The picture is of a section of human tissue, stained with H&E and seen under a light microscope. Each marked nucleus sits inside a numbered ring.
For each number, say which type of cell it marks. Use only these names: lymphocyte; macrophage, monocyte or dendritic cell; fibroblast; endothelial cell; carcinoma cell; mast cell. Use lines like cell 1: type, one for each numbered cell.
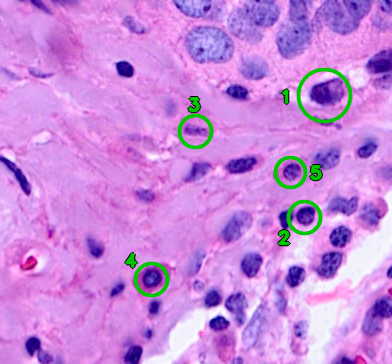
cell 1: carcinoma cell
cell 2: lymphocyte
cell 3: fibroblast
cell 4: mast cell
cell 5: mast cell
